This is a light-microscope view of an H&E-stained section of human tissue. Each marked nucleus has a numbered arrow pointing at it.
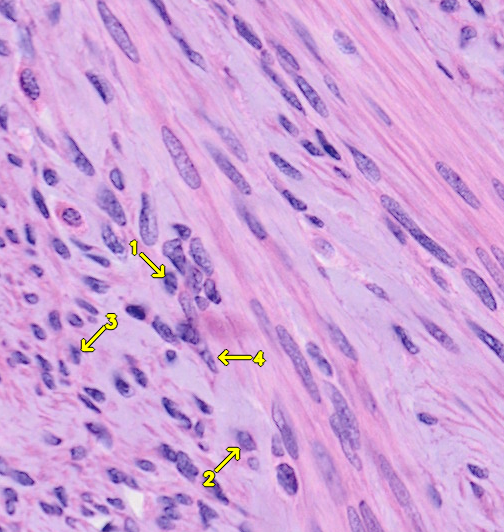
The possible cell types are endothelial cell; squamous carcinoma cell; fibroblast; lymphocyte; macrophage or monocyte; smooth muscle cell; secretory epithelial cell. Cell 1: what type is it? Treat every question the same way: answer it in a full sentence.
Of the numbered cells, the one labelled 1 is a lymphocyte.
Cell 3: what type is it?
The cell pointed out as number 3 is a smooth muscle cell.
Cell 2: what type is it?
The numeral 2 marks a smooth muscle cell in this section.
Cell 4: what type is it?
Looking at the numbered marks, cell 4 is a smooth muscle cell.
